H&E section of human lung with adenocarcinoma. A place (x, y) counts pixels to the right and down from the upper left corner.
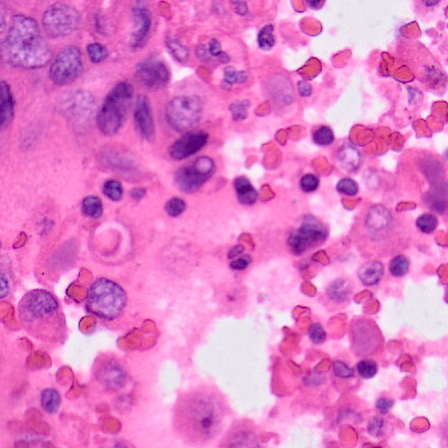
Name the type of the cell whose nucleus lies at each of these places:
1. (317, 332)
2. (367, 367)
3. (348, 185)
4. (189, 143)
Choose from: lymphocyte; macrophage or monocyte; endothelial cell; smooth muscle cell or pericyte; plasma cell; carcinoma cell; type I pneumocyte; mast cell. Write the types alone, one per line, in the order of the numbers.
lymphocyte
lymphocyte
lymphocyte
carcinoma cell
